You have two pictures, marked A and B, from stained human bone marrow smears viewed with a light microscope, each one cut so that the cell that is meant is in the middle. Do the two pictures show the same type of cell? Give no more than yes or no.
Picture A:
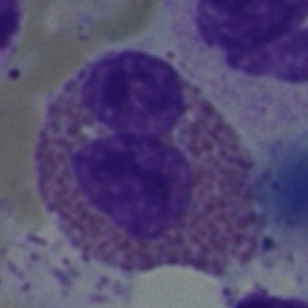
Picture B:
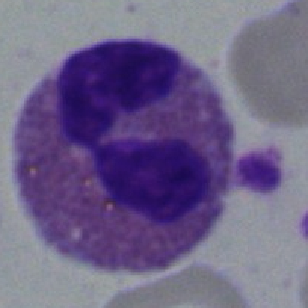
yes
